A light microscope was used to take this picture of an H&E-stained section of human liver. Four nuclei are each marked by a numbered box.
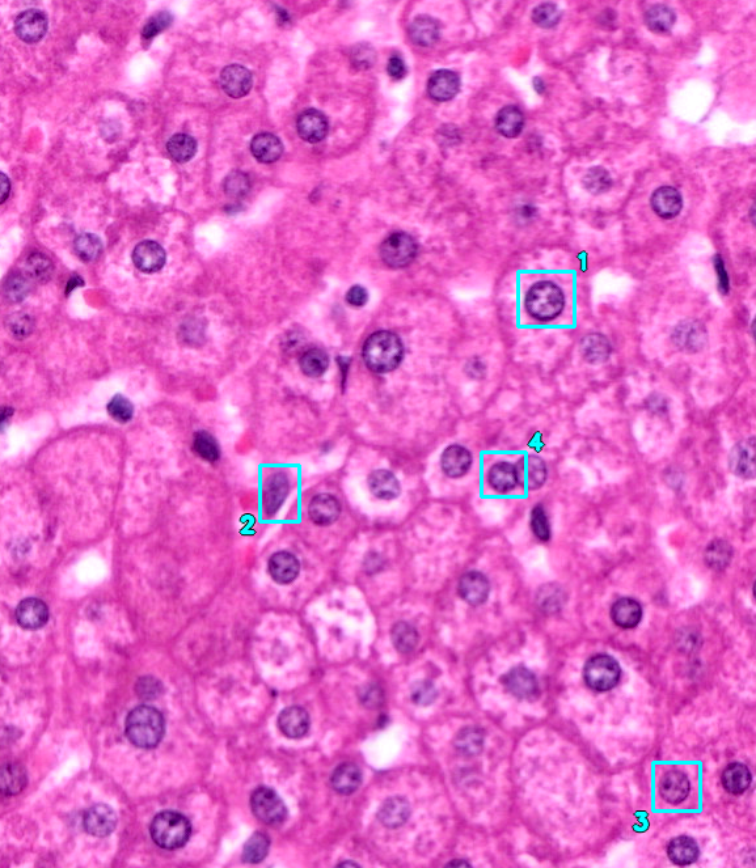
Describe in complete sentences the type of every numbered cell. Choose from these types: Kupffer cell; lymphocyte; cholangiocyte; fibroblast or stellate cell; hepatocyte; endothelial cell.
Cell 1 is a hepatocyte, cell 2 is a Kupffer cell, cell 3 is a hepatocyte and cell 4 is a hepatocyte.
